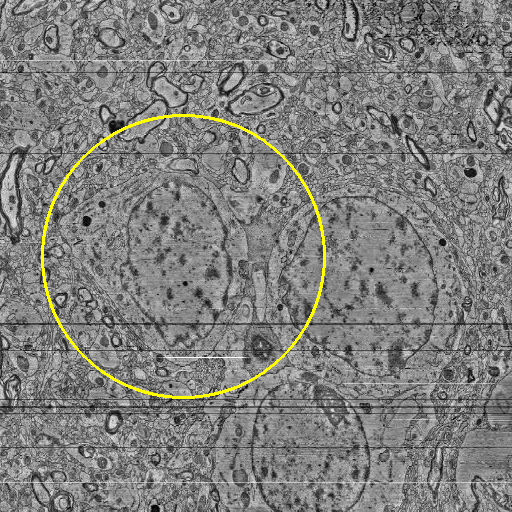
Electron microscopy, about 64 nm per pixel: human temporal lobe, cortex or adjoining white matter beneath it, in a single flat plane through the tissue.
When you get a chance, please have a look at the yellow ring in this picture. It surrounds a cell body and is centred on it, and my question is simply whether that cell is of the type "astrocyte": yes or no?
No, the cell is of another type.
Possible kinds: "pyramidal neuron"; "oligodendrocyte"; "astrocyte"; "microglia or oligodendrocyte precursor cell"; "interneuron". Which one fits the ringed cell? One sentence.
Instead, the cell at the centre of the ring is an interneuron.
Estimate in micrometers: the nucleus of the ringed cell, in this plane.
At approximately 11 by 7 micrometres, the nucleus is clearly longer than it is wide in this plane.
